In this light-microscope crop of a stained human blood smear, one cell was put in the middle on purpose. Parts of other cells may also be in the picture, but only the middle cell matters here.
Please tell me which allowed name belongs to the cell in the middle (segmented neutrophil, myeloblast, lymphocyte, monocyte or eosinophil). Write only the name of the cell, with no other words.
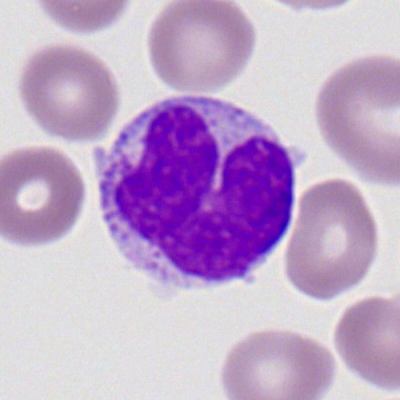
monocyte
